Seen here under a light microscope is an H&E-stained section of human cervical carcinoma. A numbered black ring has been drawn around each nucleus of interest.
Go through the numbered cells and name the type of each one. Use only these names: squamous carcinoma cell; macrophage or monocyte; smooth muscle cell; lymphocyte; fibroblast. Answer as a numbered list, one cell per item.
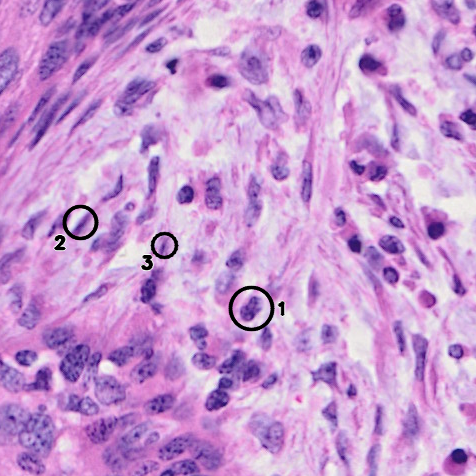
1. lymphocyte
2. fibroblast
3. fibroblast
